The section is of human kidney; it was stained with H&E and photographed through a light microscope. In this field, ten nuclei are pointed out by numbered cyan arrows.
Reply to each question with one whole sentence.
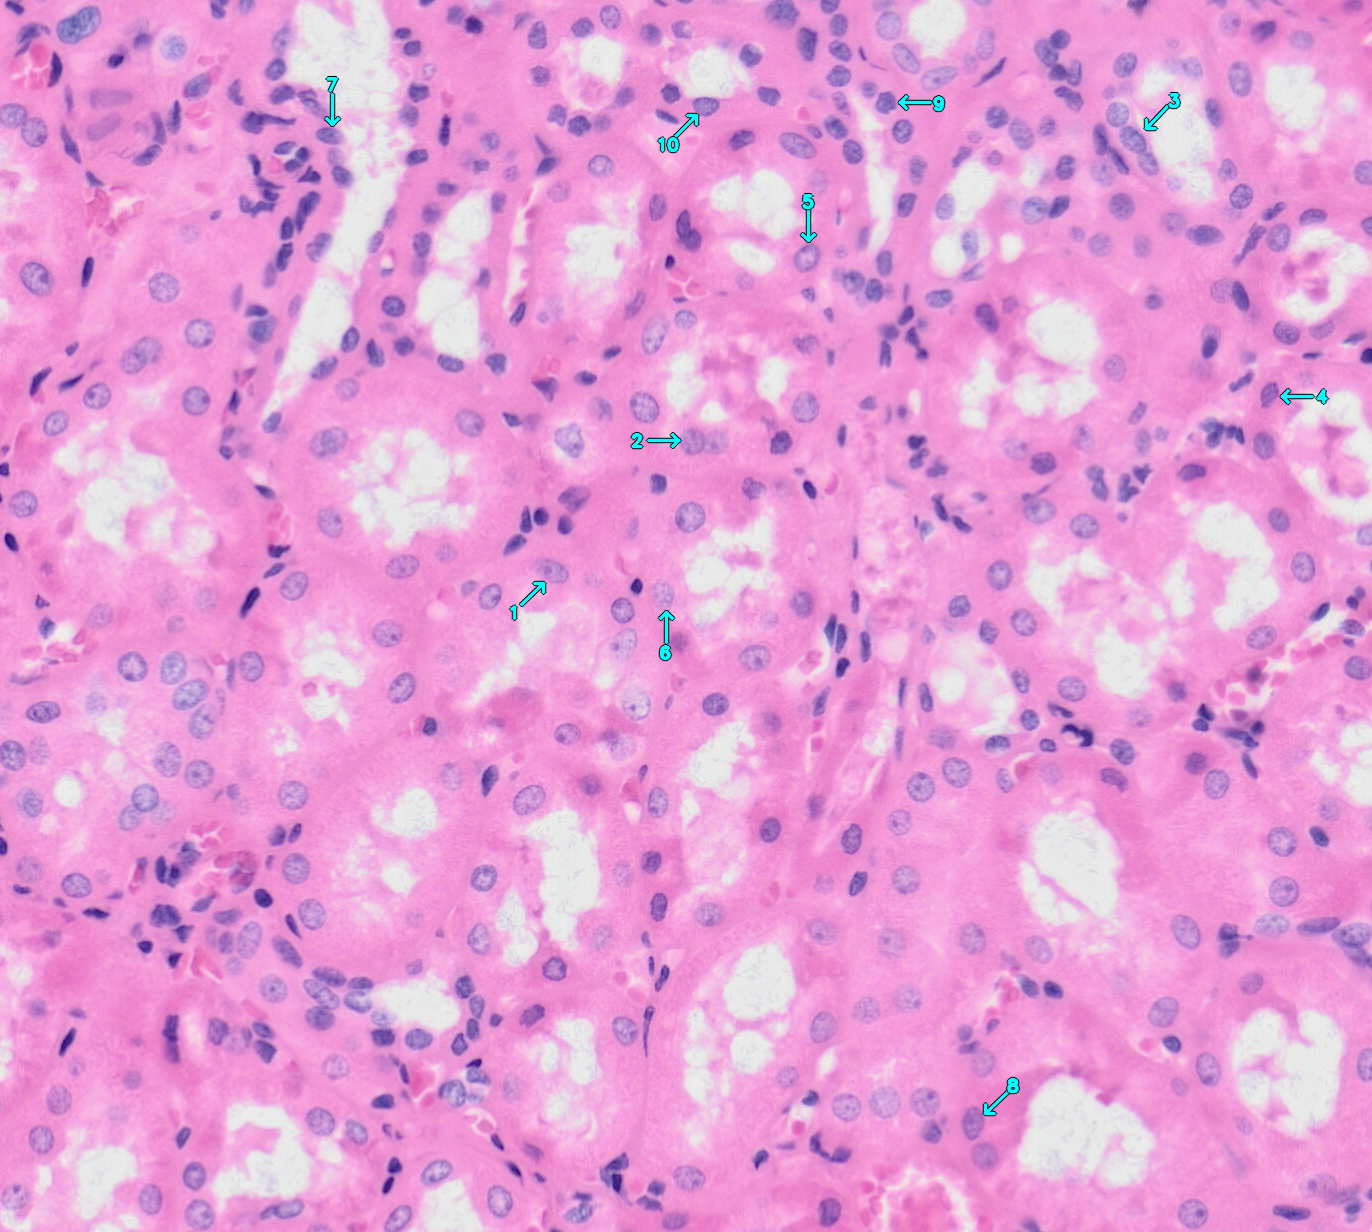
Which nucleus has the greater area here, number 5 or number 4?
The larger nucleus is 5, at roughly 1.5 times the area of 4.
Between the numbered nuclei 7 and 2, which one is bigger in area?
Of the two, number 2 is bigger and takes up about 1.5 times the area of number 7.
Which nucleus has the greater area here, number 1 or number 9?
Nucleus 1 is larger, with an area about 1.5 times that of nucleus 9.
